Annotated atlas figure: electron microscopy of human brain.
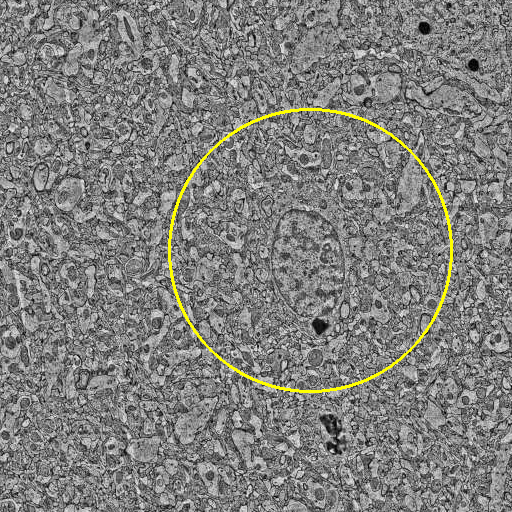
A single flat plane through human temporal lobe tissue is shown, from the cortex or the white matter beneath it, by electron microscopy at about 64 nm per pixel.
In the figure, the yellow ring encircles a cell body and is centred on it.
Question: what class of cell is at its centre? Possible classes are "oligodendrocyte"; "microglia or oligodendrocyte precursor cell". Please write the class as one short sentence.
The yellow ring is drawn around an oligodendrocyte.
